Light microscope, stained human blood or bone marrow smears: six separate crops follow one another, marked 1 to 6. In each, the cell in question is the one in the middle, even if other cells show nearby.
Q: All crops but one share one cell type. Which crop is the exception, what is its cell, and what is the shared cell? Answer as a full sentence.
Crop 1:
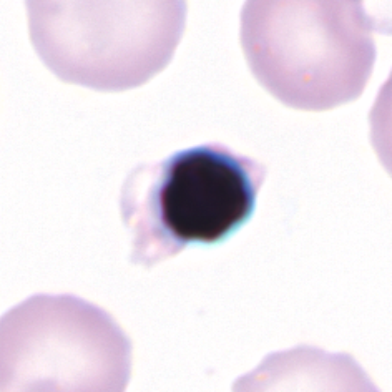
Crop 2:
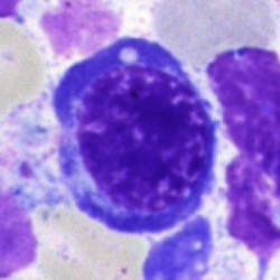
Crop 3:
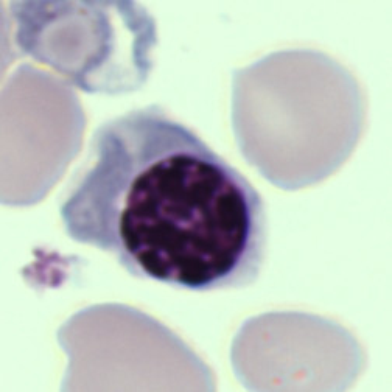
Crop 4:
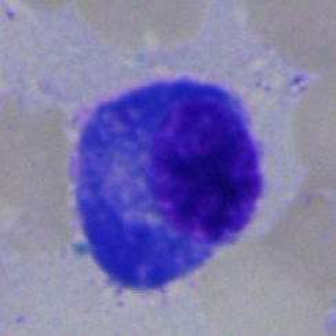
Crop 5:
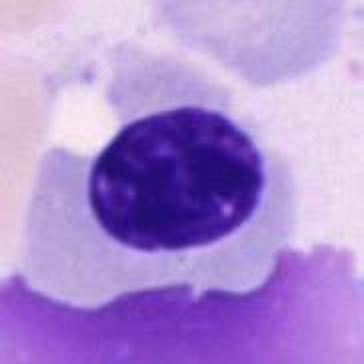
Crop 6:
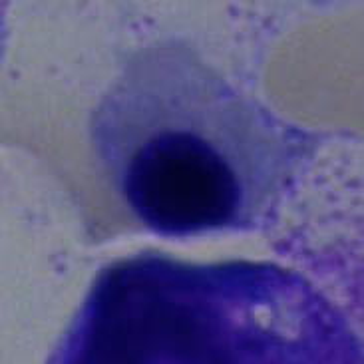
Crop 4 differs: it is a plasma cell, and all the other crops show erythroblasts.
